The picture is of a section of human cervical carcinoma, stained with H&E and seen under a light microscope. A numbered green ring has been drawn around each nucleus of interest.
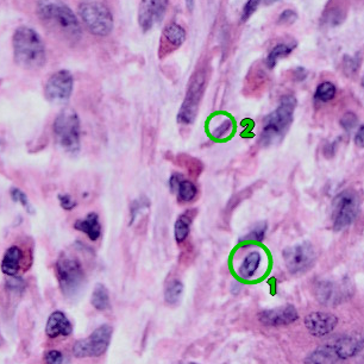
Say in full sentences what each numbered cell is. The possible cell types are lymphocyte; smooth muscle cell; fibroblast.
Cell 1 is a lymphocyte. Cell 2 is a fibroblast.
